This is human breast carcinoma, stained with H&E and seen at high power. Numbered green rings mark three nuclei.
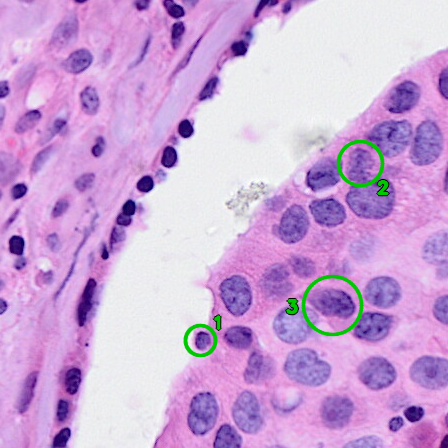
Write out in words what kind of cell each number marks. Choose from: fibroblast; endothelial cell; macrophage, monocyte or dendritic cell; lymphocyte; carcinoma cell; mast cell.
Cell 1 is a lymphocyte. Cells 2 and 3 are carcinoma cells.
